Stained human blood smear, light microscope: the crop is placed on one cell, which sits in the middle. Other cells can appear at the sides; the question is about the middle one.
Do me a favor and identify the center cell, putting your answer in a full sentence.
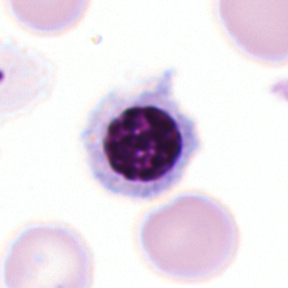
Within this crop, a normoblast occupies the central position.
